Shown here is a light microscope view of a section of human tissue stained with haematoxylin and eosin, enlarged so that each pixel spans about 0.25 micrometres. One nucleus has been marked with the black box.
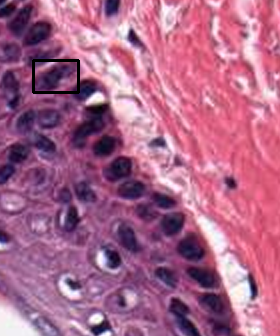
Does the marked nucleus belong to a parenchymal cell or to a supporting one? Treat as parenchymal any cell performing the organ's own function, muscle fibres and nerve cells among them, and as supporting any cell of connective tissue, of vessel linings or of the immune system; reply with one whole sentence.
The marked nucleus is assigned to a parenchymal cell, namely a keratinocyte.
